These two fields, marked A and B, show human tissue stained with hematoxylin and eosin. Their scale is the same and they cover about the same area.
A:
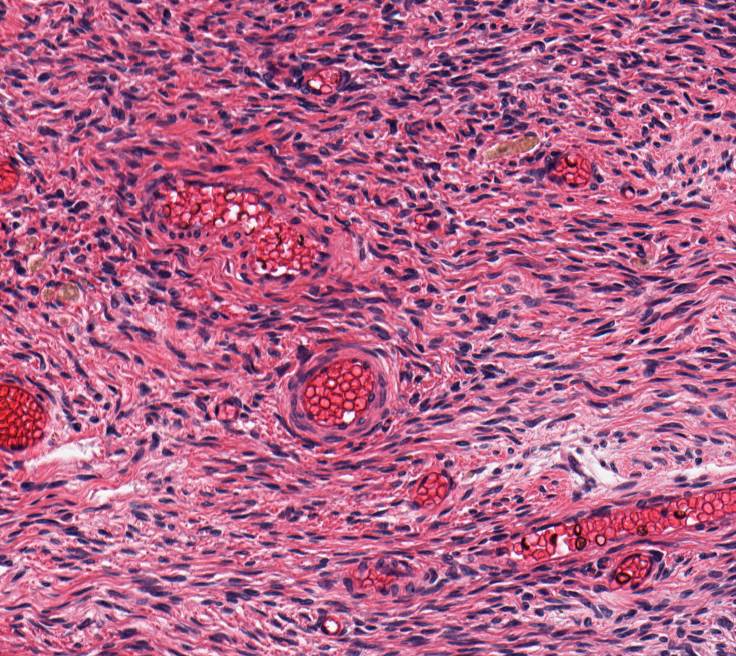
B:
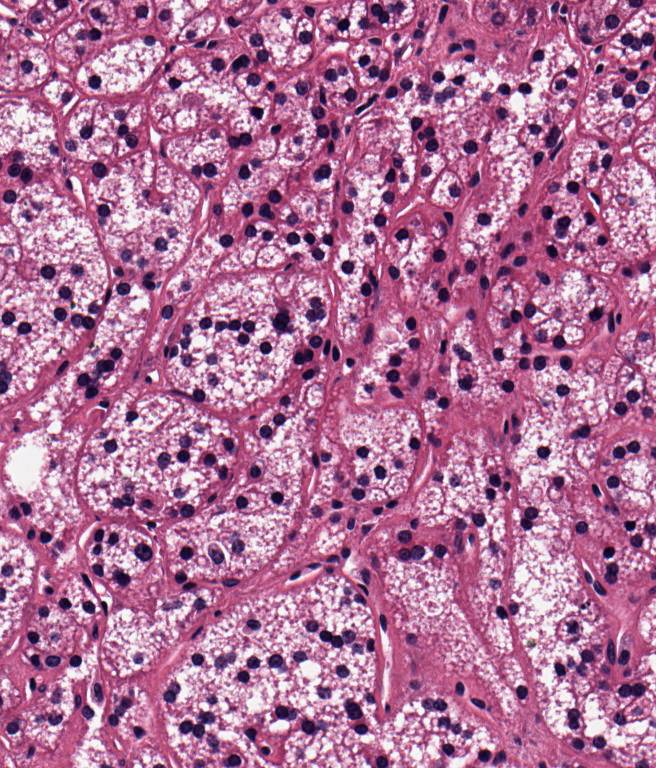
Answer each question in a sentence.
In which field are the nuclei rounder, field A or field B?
It is field B whose nuclei are the rounder.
